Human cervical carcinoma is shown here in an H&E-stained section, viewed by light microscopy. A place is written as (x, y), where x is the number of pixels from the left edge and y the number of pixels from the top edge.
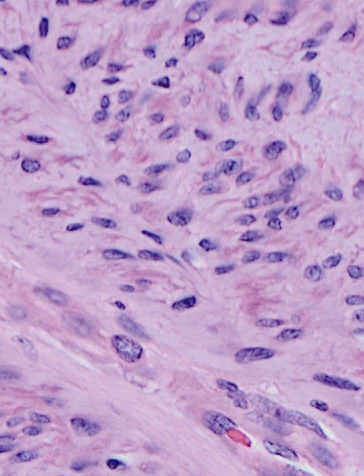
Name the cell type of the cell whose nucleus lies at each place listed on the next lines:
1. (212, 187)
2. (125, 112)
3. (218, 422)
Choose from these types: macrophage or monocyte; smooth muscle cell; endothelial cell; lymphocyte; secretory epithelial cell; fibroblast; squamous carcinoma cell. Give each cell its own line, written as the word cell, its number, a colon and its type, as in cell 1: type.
cell 1: smooth muscle cell
cell 2: smooth muscle cell
cell 3: endothelial cell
